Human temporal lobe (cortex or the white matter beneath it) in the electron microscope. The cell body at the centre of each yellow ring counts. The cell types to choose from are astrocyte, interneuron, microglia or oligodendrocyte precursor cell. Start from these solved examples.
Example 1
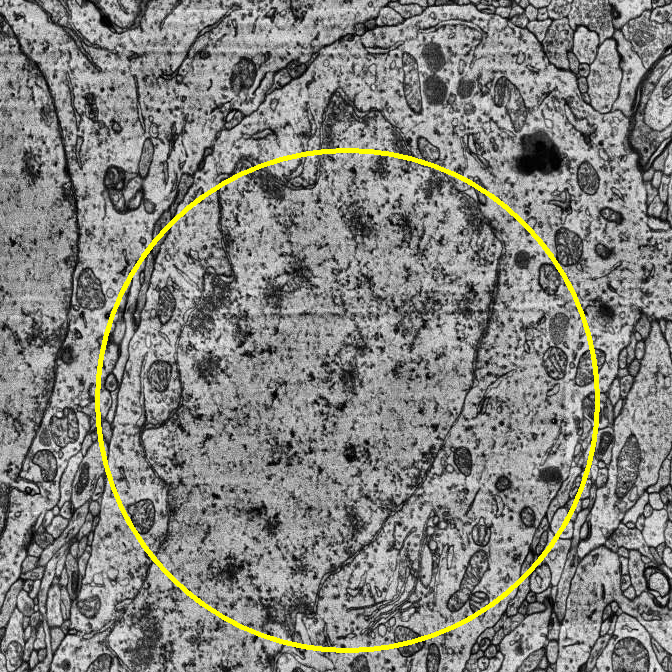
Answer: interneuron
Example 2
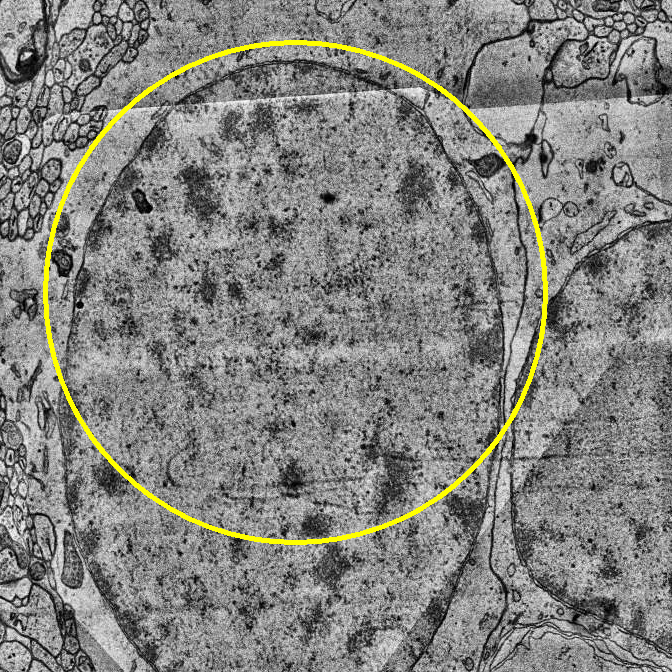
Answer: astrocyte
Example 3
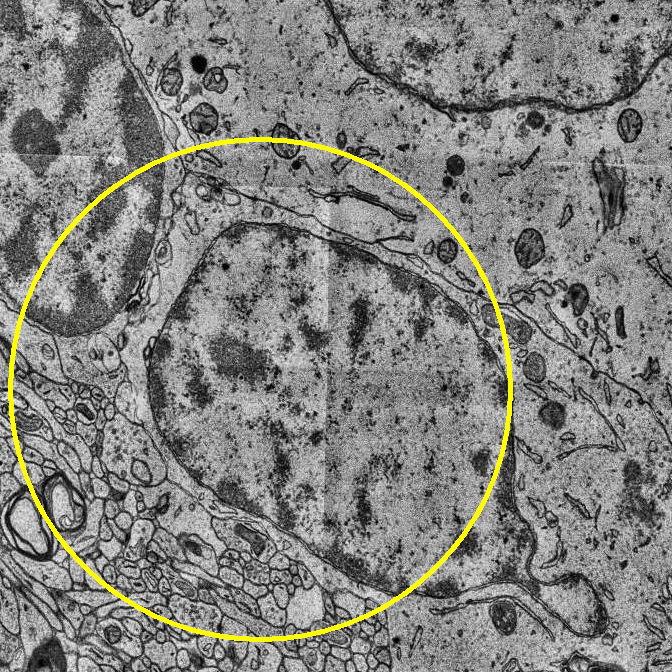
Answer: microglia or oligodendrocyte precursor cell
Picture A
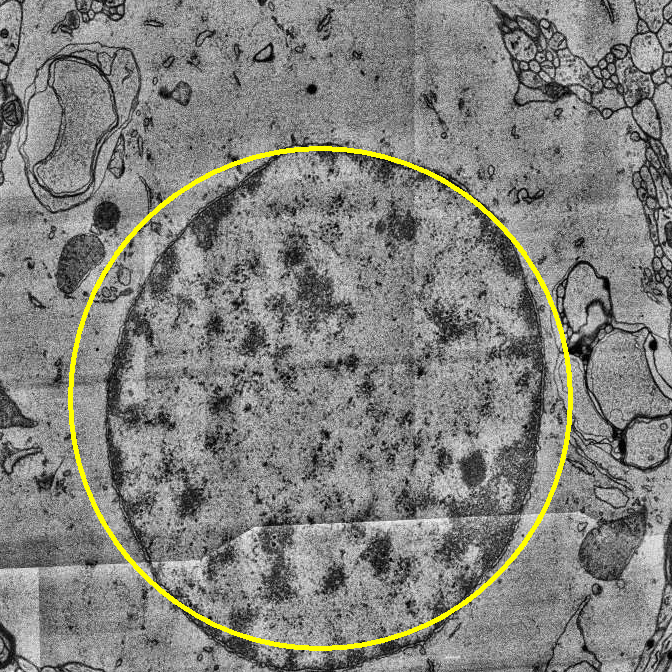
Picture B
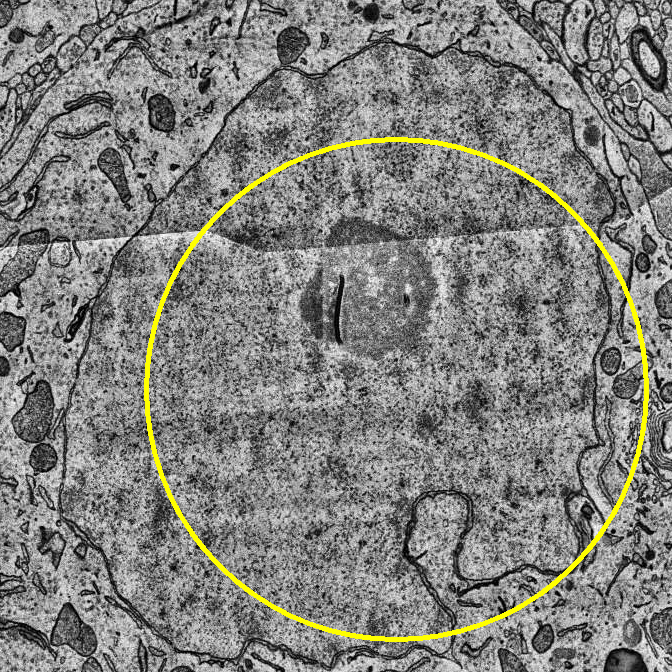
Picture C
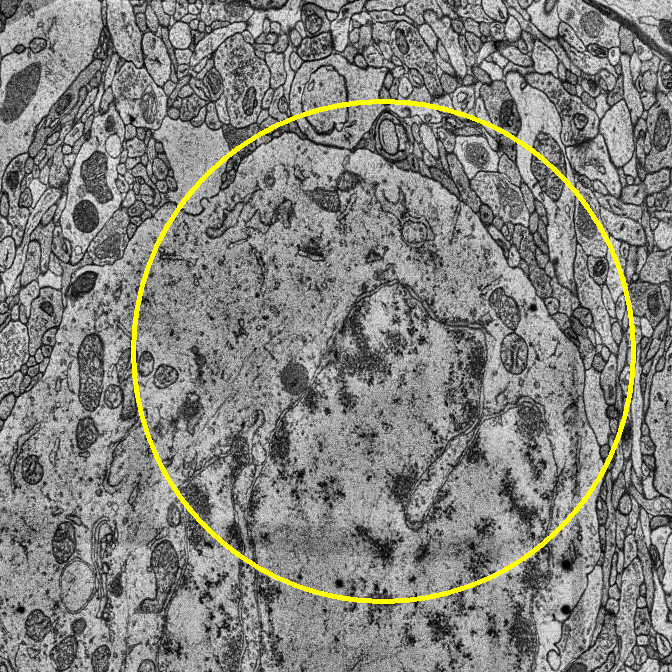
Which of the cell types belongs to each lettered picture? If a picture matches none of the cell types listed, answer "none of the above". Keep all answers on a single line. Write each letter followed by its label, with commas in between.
A astrocyte, B interneuron, C interneuron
